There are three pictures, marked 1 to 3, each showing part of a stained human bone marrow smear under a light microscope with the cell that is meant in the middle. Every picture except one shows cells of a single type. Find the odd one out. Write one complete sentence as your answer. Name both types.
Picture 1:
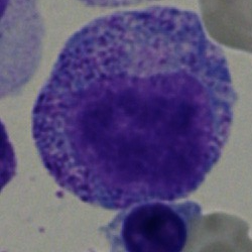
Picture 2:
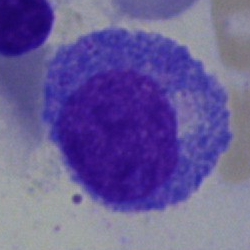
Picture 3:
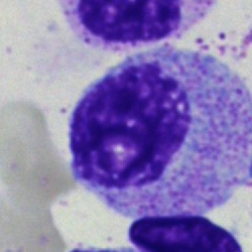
Unlike the rest, which show promyelocytes, picture 3 shows a myelocyte.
